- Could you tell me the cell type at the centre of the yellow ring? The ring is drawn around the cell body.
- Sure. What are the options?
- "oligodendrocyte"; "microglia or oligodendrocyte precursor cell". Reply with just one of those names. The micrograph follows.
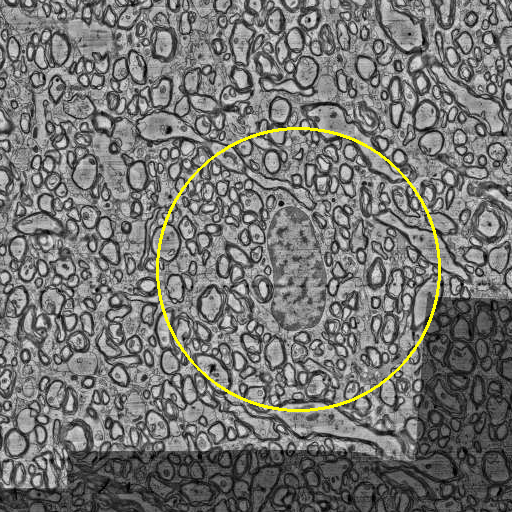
microglia or oligodendrocyte precursor cell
